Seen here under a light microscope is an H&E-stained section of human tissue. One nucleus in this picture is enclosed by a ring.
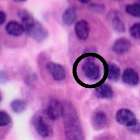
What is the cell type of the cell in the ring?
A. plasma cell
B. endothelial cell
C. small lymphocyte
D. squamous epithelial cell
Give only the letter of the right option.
A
